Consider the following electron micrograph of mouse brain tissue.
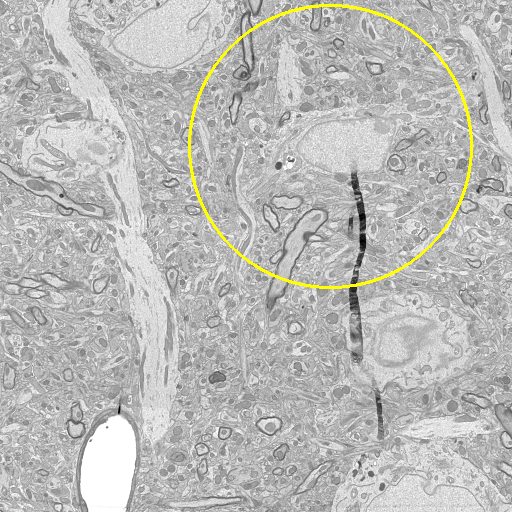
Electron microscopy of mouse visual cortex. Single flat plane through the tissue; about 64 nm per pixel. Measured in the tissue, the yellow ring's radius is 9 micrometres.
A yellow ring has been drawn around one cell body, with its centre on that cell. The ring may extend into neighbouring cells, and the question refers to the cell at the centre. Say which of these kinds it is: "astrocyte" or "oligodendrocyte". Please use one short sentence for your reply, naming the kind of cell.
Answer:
The centre of the ring falls on an astrocyte.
